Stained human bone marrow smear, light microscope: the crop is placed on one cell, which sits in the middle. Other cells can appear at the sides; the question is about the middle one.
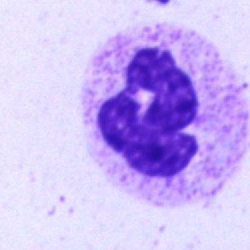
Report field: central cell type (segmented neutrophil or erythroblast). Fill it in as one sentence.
This crop is built around a segmented neutrophil at its centre.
